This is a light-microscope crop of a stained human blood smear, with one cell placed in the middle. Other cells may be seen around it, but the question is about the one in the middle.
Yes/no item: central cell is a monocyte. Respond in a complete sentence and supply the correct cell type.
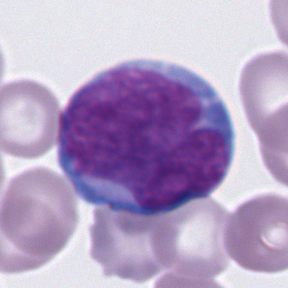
No, a blast, not a monocyte, is what sits in the centre of the crop.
